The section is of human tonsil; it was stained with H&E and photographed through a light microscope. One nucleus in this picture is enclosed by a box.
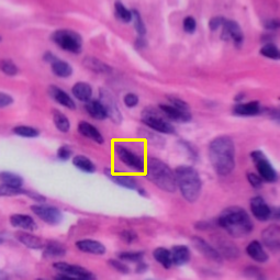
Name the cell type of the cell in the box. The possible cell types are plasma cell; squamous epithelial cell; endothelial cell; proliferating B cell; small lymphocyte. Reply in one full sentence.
Placed in its cell category, the cell in the box is an endothelial cell.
